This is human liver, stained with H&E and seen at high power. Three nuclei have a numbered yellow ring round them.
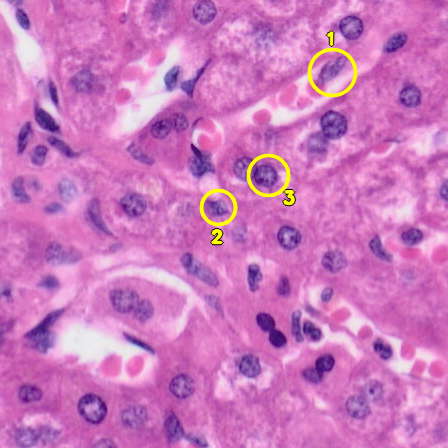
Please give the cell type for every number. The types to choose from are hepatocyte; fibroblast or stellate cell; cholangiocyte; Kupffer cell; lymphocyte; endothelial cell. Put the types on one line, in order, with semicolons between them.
Kupffer cell; fibroblast or stellate cell; hepatocyte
